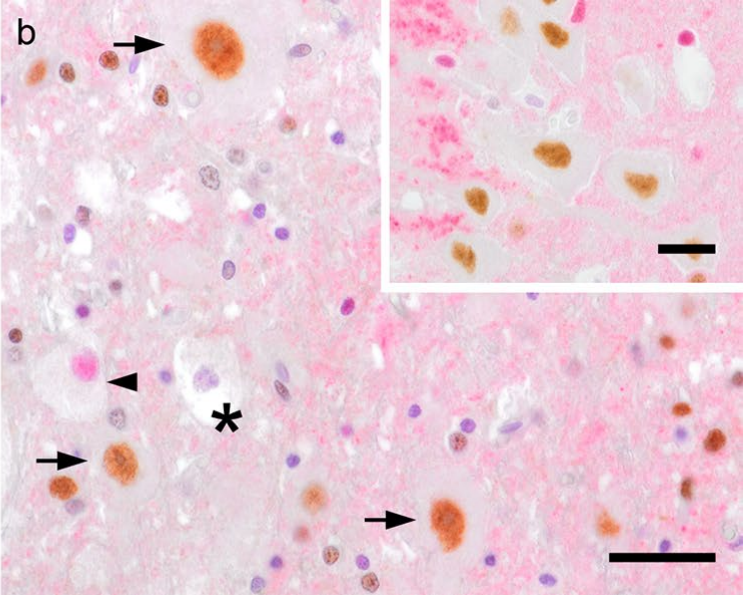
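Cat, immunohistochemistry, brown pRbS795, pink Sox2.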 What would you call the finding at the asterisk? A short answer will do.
Fading neuron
